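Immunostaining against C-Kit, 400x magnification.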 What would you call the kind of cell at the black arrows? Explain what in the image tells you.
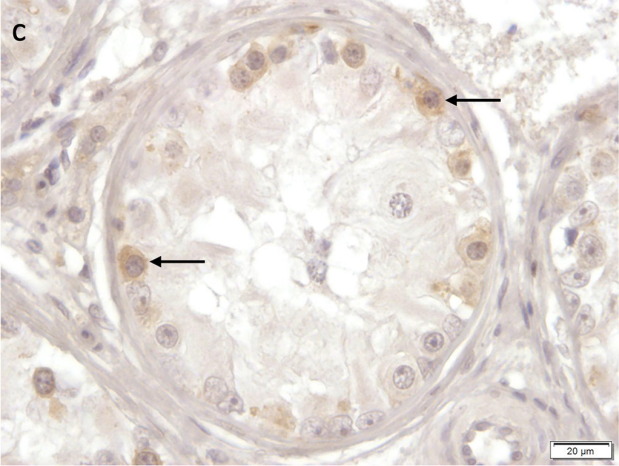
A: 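Spermatogonia. The arrows point to round cells with brown cytoplasm lying against the tubule wall. The tubule contains few other germ cells and a pale, vacuolated interior.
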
